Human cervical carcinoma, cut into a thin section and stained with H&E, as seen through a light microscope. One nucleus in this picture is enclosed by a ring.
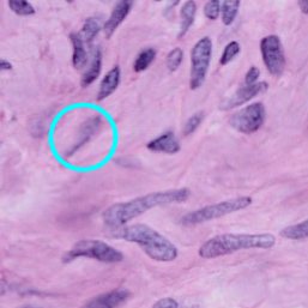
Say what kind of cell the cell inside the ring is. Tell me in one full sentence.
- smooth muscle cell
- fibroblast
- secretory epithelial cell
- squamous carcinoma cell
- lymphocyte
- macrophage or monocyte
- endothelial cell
Within this tissue, the cell inside the ring is a fibroblast.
